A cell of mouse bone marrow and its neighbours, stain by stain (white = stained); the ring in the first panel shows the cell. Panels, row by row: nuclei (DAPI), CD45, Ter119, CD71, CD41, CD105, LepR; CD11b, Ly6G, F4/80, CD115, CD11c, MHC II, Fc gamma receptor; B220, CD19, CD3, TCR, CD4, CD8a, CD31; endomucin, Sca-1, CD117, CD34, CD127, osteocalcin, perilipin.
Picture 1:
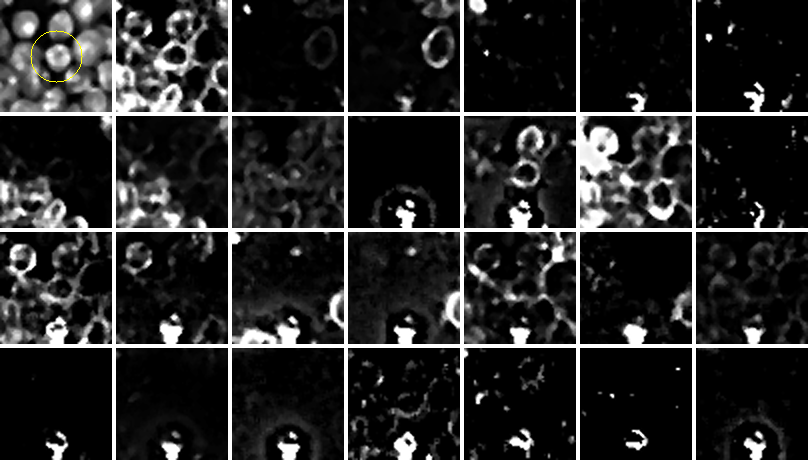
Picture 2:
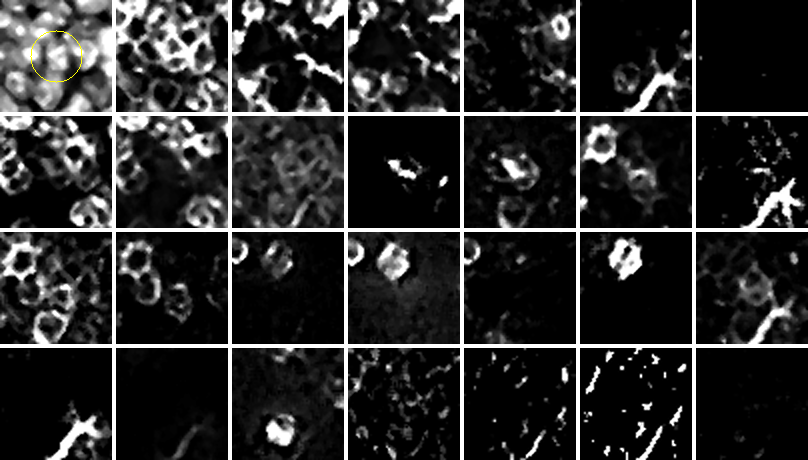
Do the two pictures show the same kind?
Yes, both are conventional dendritic cells.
